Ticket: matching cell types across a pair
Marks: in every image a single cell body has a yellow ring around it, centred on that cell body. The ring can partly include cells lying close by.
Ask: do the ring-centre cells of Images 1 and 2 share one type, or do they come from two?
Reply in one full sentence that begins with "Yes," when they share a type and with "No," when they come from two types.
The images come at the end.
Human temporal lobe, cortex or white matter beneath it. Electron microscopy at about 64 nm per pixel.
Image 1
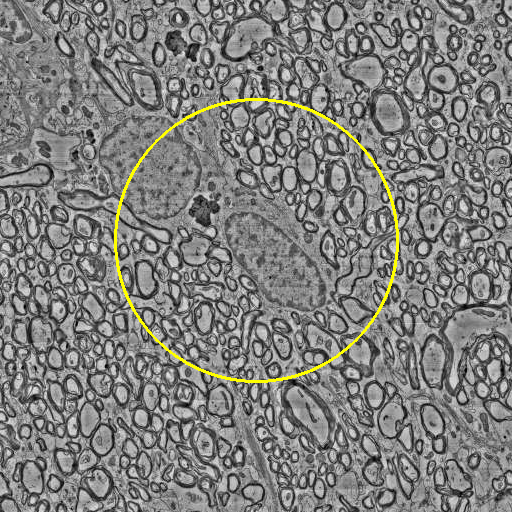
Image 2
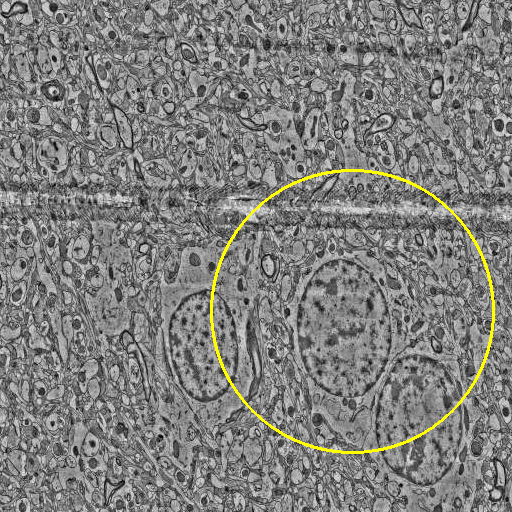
No, the cells in the centres of the rings in Image 1 and Image 2 come from two types.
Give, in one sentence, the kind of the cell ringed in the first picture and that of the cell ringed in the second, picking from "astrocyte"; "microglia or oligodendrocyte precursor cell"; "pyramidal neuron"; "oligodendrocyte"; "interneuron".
For the first picture it is an oligodendrocyte; for the second, an astrocyte.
